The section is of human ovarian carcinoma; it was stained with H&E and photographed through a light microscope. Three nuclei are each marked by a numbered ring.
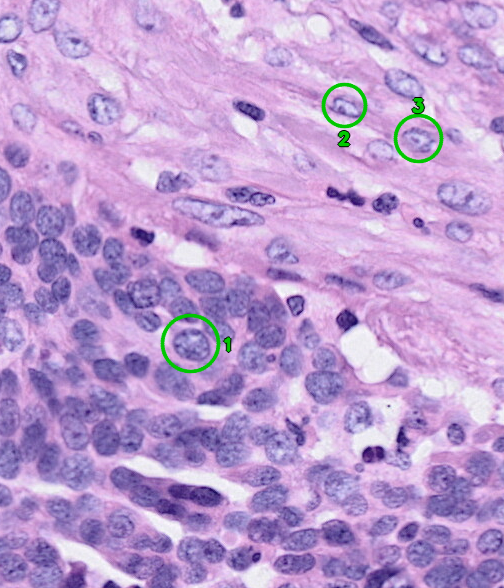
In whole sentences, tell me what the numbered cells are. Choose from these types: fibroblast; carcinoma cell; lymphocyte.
Cell 1 is a carcinoma cell, cell 2 is a fibroblast and cell 3 is a fibroblast.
